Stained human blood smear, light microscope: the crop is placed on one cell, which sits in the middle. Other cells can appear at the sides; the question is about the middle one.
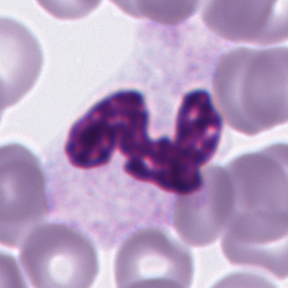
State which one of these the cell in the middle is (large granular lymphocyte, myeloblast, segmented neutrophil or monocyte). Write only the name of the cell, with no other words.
segmented neutrophil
